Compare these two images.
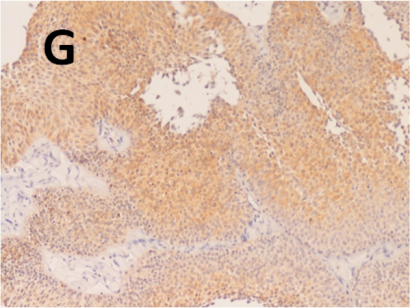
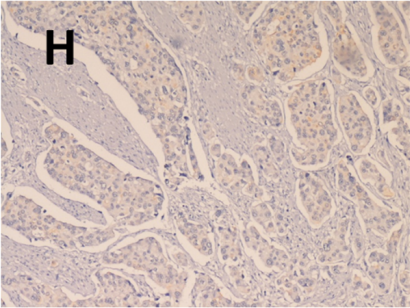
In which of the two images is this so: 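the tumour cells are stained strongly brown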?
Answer: The first image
